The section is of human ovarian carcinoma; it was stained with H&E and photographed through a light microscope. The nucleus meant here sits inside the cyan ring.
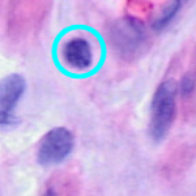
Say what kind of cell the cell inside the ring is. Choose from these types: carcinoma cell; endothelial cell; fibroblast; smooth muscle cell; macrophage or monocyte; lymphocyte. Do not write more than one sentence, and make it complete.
In this field of tissue, the cell inside the ring is a lymphocyte.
